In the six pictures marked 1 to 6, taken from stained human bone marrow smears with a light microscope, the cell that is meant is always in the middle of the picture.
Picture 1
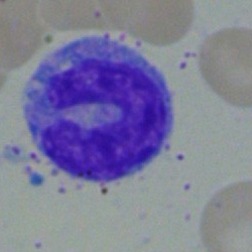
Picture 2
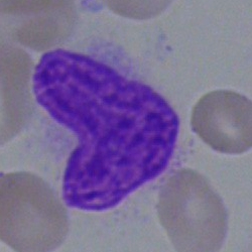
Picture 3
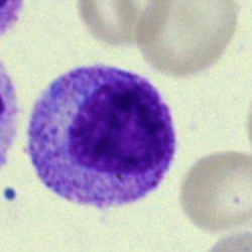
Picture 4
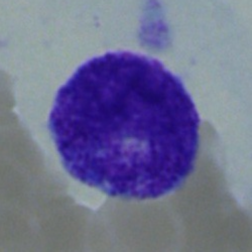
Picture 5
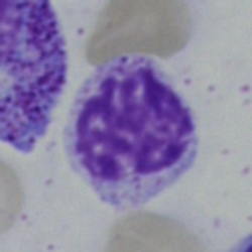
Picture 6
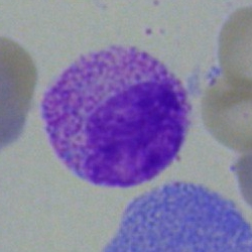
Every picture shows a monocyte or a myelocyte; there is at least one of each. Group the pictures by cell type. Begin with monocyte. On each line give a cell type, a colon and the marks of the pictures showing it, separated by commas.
monocyte: 1, 2
myelocyte: 3, 4, 5, 6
